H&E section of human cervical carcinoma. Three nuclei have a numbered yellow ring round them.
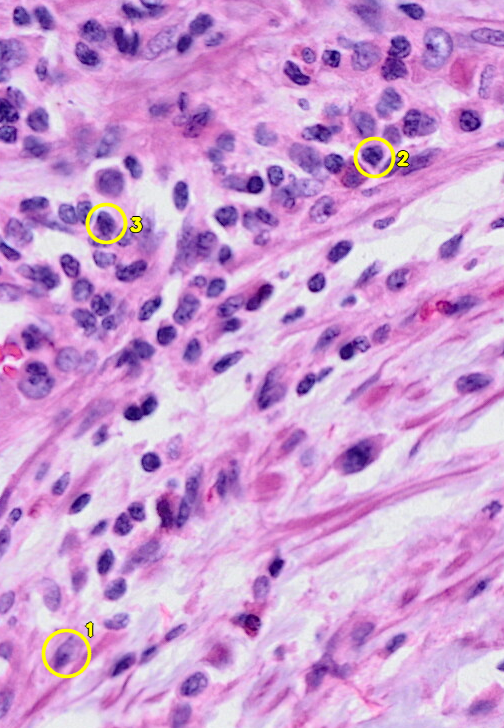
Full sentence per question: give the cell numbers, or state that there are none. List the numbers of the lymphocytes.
Cells 2 and 3 are recognised here as lymphocytes.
